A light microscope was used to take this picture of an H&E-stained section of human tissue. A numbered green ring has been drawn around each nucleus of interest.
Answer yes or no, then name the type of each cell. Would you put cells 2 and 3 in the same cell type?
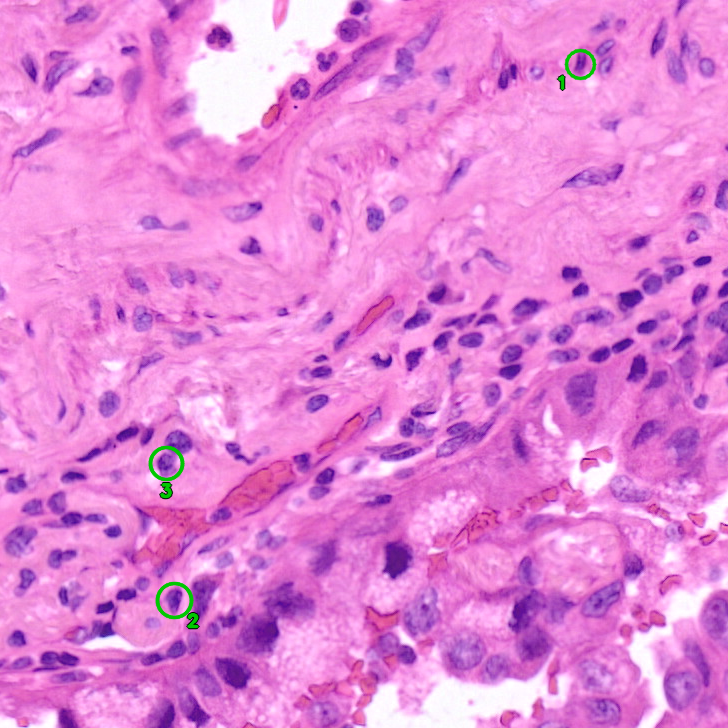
Yes, in short, cells 2 and 3 are both lymphocytes.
